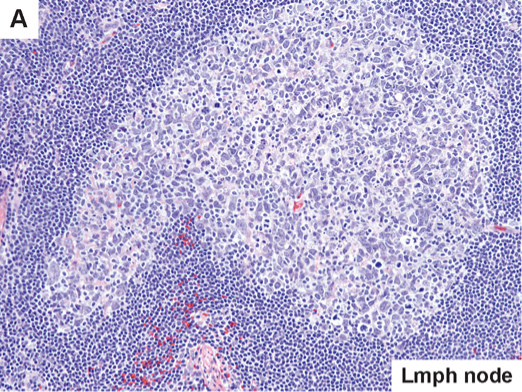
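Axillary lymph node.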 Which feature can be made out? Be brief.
Atypical follicle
